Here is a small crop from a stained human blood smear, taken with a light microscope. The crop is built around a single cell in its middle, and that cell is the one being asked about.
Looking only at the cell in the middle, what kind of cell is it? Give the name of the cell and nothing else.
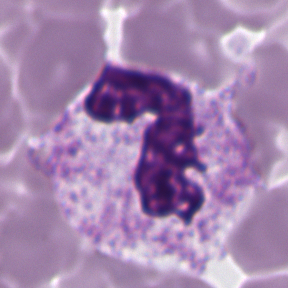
segmented neutrophil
